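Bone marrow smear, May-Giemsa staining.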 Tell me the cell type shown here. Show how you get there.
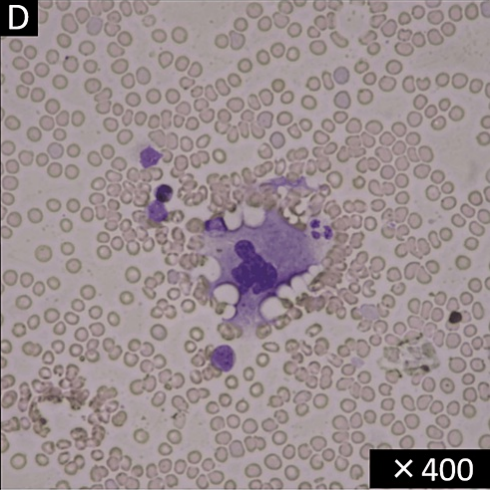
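One very large cell in the centre, many times the size of the surrounding red cells. Abundant pale purple cytoplasm. A dark, lobulated nucleus. So: megakaryocyte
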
